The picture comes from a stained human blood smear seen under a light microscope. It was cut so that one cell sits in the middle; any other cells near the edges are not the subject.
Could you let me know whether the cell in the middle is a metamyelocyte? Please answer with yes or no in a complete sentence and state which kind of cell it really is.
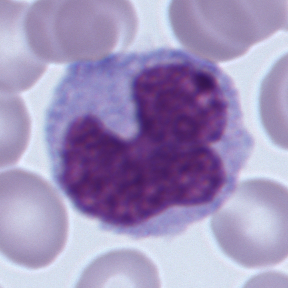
No, this is not a metamyelocyte at all; the cell in the middle is a monocyte.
